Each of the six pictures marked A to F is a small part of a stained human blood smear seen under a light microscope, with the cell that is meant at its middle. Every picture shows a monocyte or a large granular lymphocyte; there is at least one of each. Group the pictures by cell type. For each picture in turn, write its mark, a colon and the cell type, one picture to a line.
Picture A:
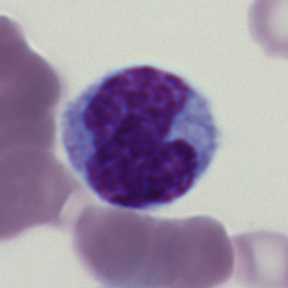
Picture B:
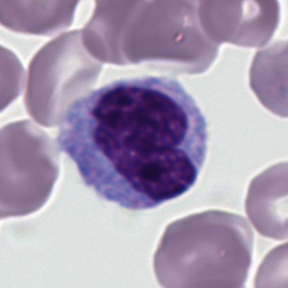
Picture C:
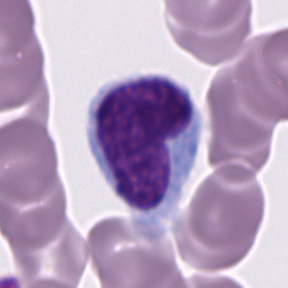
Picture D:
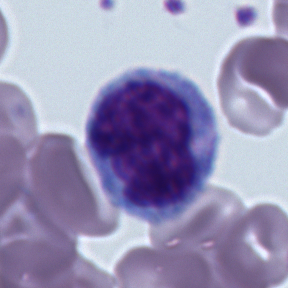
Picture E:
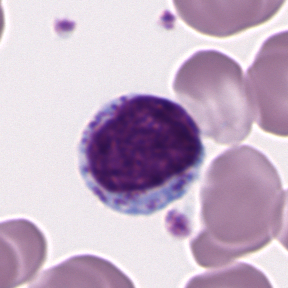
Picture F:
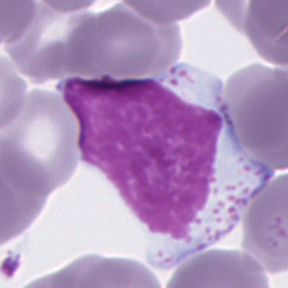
A: monocyte
B: monocyte
C: monocyte
D: monocyte
E: large granular lymphocyte
F: large granular lymphocyte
